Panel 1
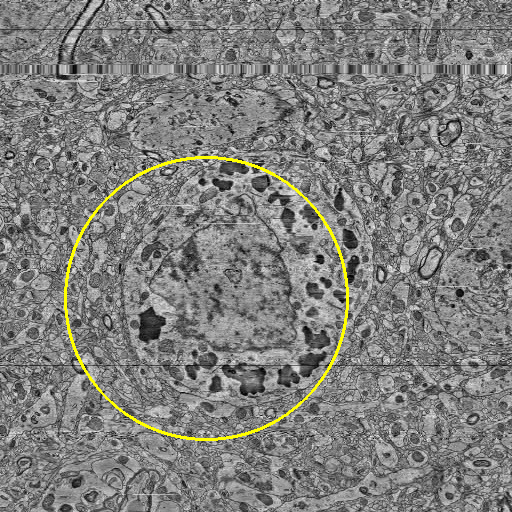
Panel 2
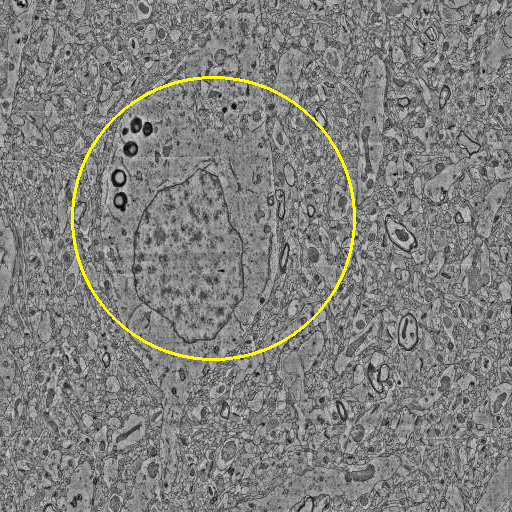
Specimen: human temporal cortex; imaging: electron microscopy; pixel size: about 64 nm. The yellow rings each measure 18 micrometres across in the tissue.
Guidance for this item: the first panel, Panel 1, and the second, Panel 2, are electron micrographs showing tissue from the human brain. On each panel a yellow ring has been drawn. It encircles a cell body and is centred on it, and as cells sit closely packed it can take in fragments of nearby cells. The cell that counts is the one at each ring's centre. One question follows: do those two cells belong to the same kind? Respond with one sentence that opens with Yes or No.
No, the cells at the ring centres in Panel 1 and Panel 2 are of two kinds.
